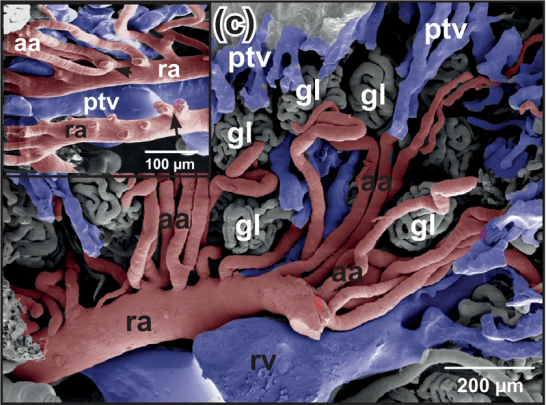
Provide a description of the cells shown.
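This corrosion cast of the kidney's microvasculature shows a thick renal artery running along the bottom of the field, giving off many slender afferent arterioles. The arterioles are smooth, tubular casts that rise and curve toward rounded, tightly coiled capillary tufts, the glomeruli, scattered among the vessels. Some arterioles leave the parent artery singly, while others share a short common stem before splitting. The inset shows several arterioles springing close together from the same arterial segment.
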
